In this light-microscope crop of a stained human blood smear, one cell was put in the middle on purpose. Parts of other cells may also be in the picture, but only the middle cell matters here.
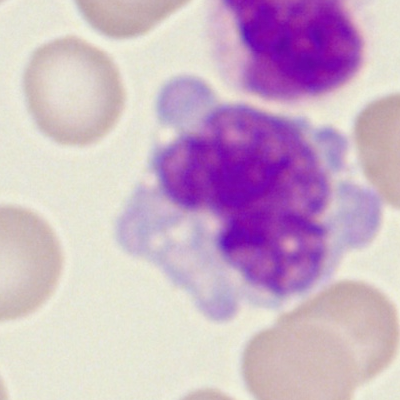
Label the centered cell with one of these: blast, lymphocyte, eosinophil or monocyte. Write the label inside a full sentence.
In the center of this field lies a monocyte.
